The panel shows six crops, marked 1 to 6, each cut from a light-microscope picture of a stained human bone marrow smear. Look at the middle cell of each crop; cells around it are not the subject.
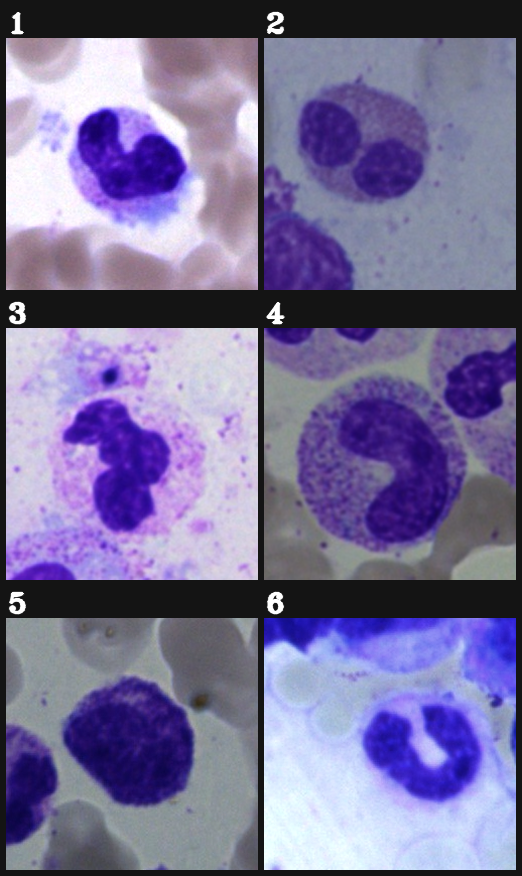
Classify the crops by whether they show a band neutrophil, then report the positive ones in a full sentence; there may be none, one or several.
In crops 1, 4 and 6, band neutrophils occupy the centre.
